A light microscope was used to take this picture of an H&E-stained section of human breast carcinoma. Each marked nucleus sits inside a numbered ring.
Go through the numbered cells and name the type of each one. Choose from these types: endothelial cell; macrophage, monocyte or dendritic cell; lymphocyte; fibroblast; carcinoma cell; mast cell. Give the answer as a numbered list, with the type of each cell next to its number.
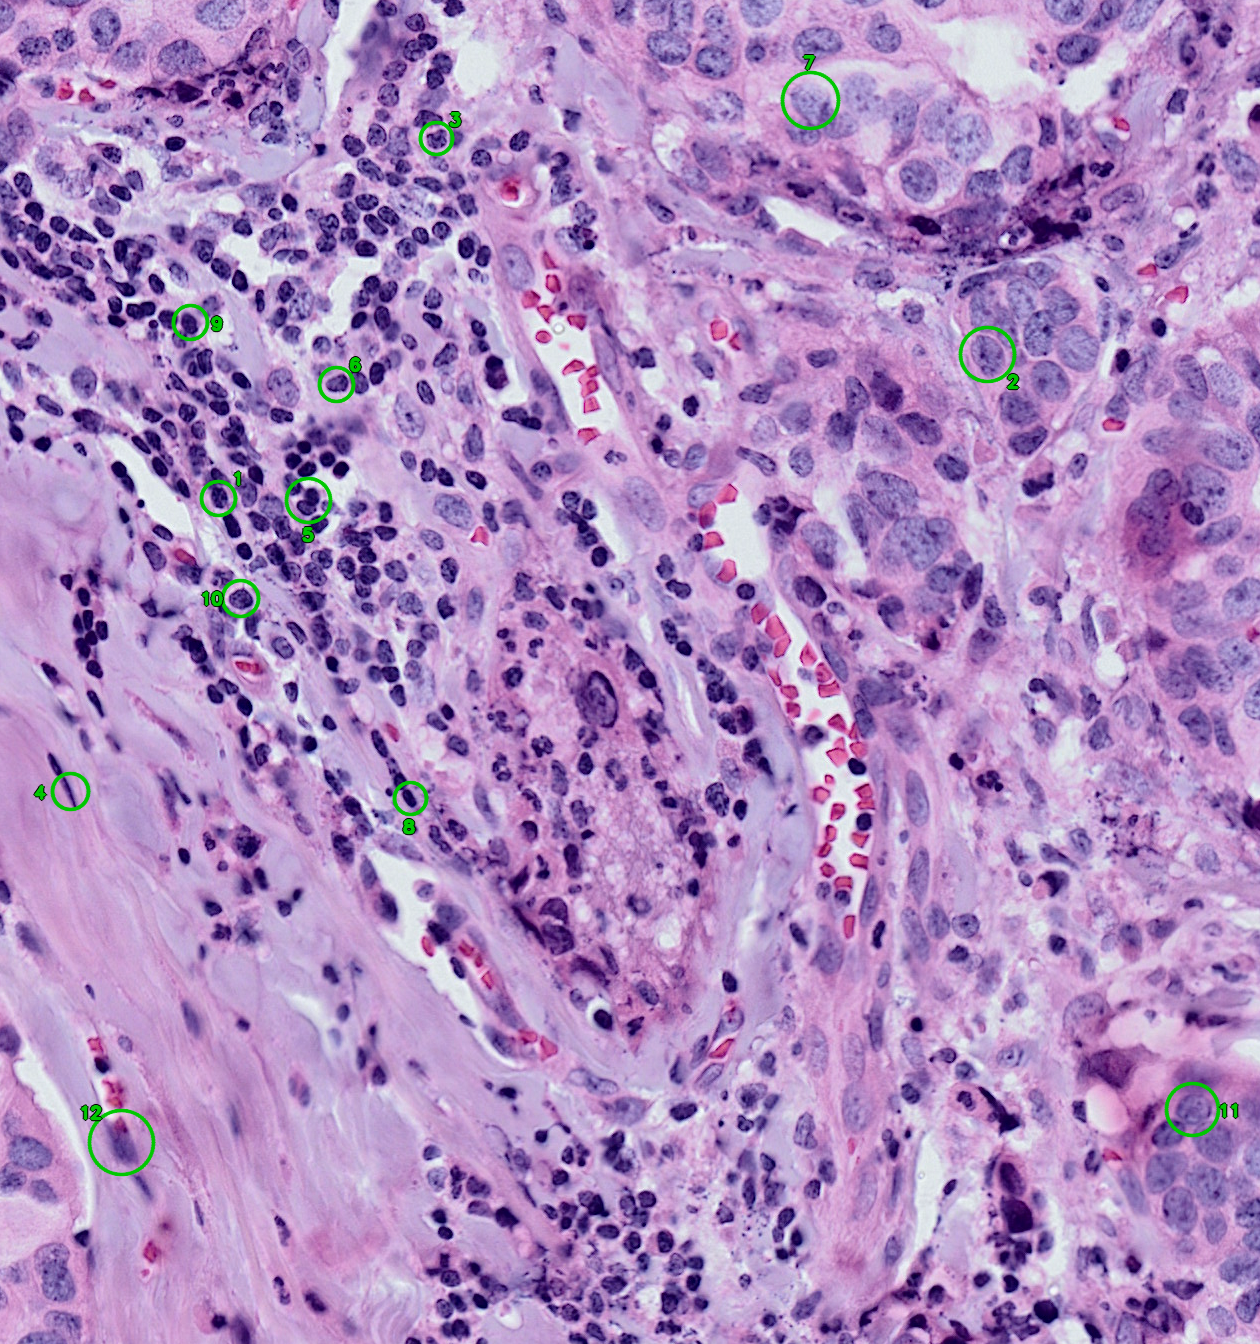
1. lymphocyte
2. carcinoma cell
3. lymphocyte
4. fibroblast
5. lymphocyte
6. lymphocyte
7. carcinoma cell
8. lymphocyte
9. lymphocyte
10. lymphocyte
11. carcinoma cell
12. endothelial cell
